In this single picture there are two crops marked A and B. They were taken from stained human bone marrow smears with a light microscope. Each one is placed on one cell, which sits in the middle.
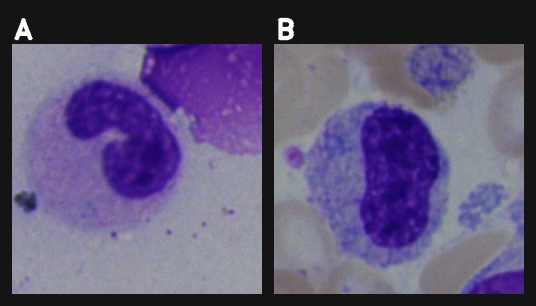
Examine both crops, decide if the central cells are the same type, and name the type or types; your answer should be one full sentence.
No, sorry, crop A shows a band neutrophil and crop B shows a metamyelocyte.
